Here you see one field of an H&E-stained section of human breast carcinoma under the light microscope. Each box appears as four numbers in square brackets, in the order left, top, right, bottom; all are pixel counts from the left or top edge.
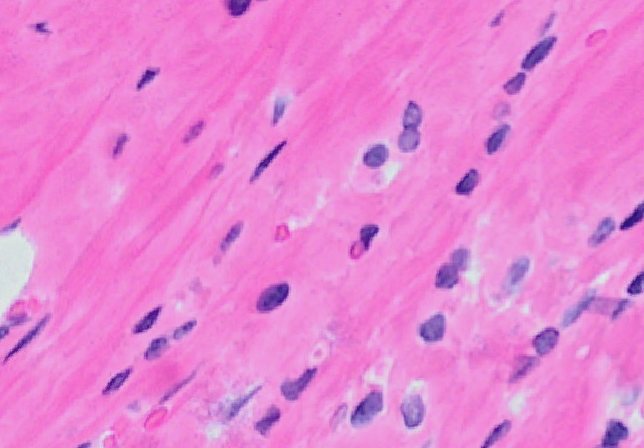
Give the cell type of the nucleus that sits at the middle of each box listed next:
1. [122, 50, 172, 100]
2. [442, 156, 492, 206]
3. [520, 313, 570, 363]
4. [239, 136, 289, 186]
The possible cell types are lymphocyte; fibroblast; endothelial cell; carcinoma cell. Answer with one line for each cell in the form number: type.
1: fibroblast
2: lymphocyte
3: lymphocyte
4: fibroblast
